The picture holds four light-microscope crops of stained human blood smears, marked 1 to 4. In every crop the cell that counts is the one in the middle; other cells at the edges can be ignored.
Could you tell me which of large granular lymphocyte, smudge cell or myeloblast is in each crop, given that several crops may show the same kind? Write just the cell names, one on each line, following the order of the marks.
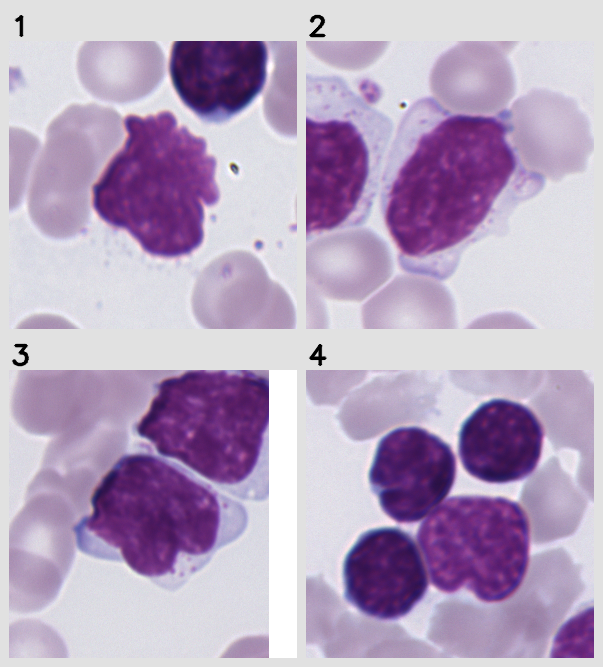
smudge cell
large granular lymphocyte
large granular lymphocyte
myeloblast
